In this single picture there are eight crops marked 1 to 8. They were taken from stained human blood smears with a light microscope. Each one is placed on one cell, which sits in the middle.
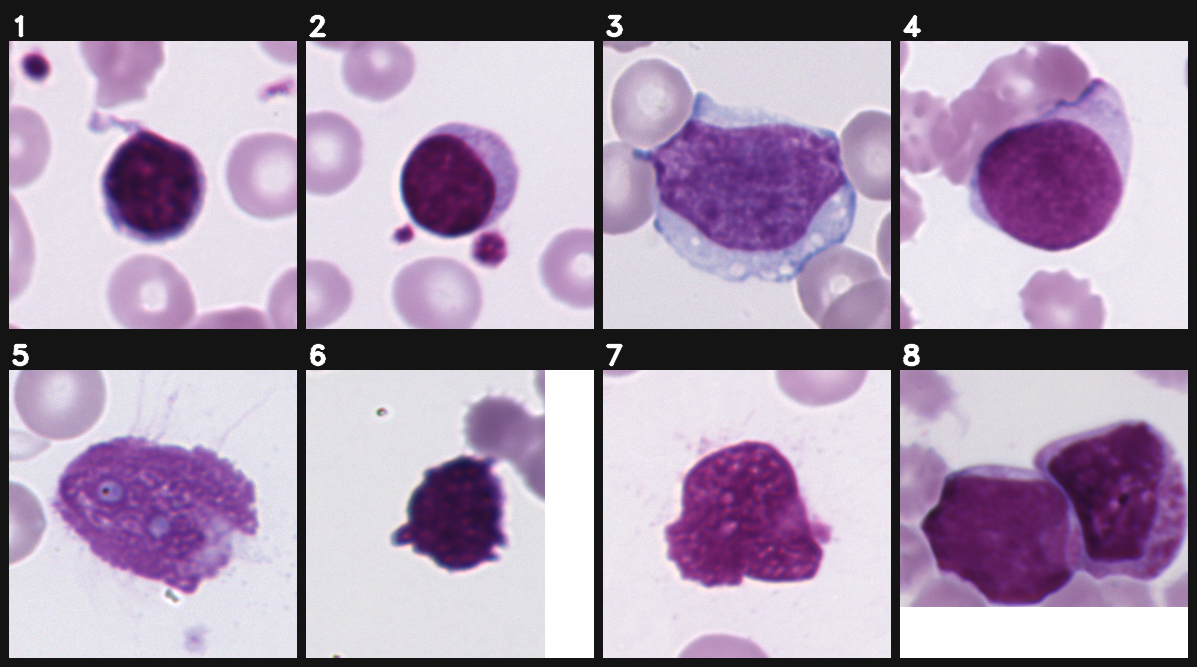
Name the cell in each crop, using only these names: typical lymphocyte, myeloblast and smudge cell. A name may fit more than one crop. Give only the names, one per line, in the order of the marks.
typical lymphocyte
typical lymphocyte
myeloblast
myeloblast
smudge cell
myeloblast
smudge cell
myeloblast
